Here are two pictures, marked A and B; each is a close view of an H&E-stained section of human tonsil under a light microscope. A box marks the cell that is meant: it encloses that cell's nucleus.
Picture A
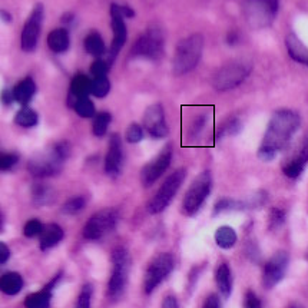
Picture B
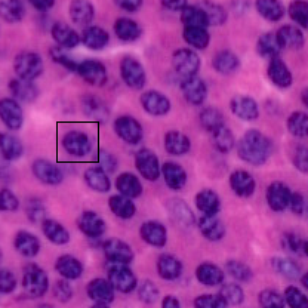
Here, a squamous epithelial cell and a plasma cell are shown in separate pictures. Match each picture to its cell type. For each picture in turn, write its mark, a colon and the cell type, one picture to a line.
A: squamous epithelial cell
B: plasma cell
